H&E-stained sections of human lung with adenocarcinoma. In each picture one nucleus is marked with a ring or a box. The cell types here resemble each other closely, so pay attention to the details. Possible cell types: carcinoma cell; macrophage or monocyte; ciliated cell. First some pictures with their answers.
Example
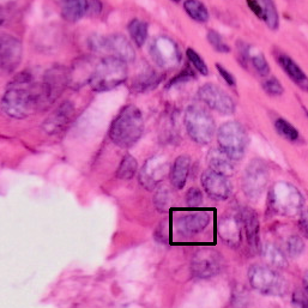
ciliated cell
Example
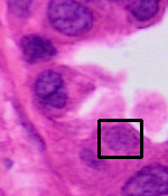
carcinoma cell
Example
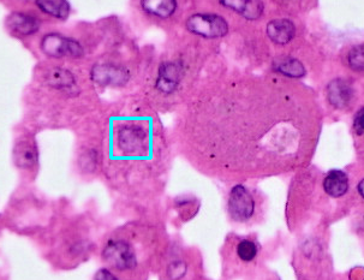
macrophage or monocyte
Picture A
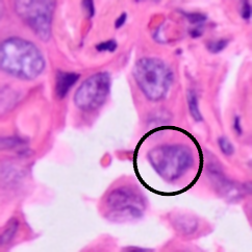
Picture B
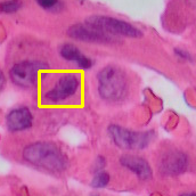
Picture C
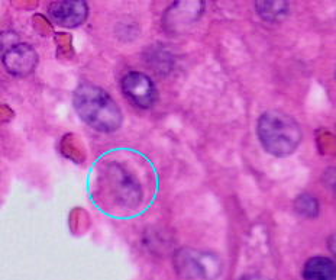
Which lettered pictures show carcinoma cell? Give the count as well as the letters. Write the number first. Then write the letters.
Count: 1 (A)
